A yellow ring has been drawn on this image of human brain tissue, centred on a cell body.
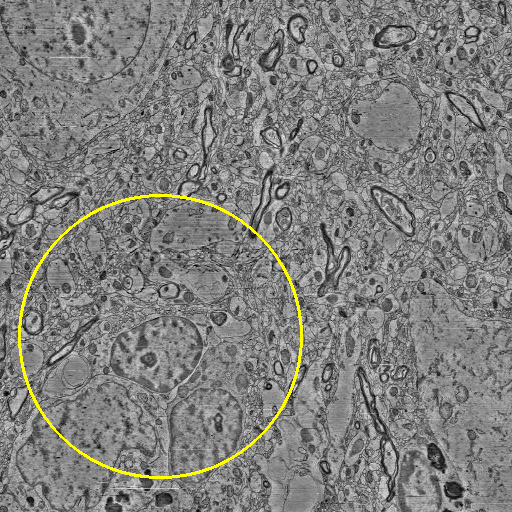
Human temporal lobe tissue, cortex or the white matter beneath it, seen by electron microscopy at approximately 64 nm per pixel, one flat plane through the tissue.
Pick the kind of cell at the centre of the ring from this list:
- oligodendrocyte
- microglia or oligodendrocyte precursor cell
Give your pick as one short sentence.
The centre of the ring holds a microglial cell or oligodendrocyte precursor cell.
